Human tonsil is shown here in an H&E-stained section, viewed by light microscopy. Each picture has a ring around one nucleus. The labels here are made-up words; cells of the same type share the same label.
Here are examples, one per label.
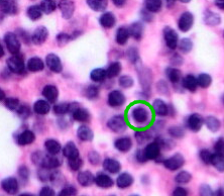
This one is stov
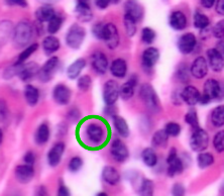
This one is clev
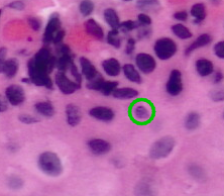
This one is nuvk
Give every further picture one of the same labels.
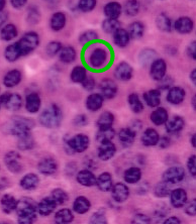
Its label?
clev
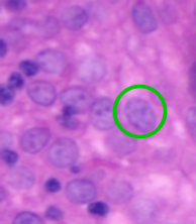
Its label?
nuvk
